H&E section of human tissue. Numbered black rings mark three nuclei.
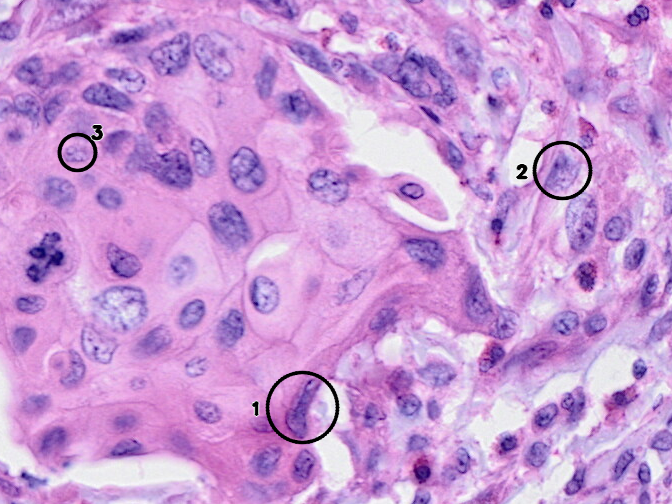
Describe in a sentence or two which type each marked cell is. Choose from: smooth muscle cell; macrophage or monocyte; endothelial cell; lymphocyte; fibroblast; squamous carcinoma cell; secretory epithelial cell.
Cells 1 and 3 are squamous carcinoma cells. Cell 2 is a fibroblast.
